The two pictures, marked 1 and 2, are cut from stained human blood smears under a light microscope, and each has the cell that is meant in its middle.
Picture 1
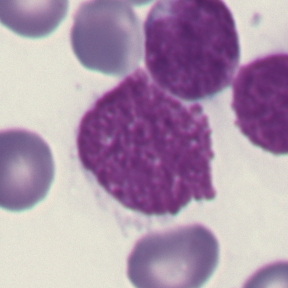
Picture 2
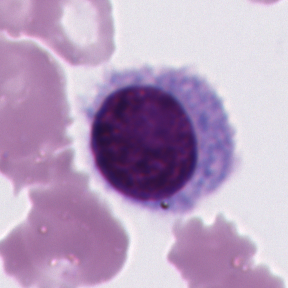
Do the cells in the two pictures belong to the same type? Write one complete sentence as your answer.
No. Picture 1 shows a smudge cell, but picture 2 shows a hairy cell.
